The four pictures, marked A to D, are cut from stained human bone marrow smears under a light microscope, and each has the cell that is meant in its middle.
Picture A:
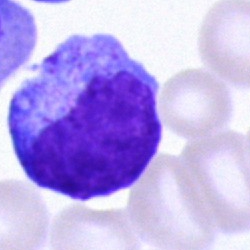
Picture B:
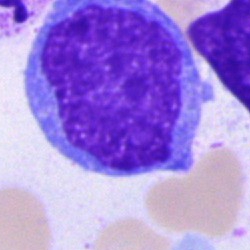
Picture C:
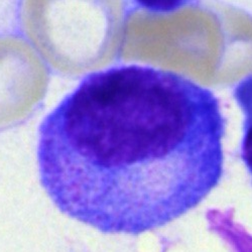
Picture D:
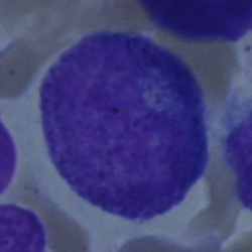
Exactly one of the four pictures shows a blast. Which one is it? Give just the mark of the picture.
B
